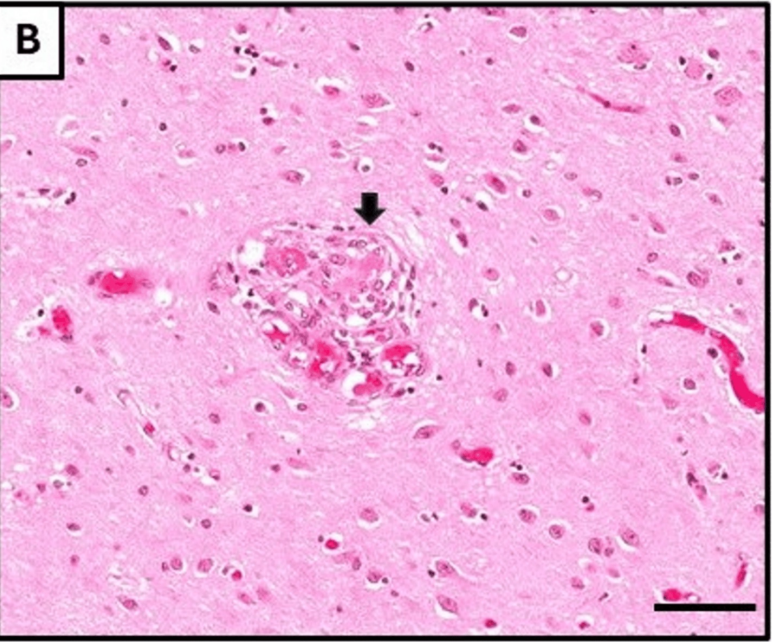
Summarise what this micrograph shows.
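This is brain tissue, with a pale pink fibrillary background in which many small rounded or oval nuclei lie scattered, several surrounded by a clear halo. At the centre is a small rounded cluster of capillary profiles, outlined by elongated dark nuclei, holding bright pink red blood cells and paler pink material within their lumens. Elsewhere in the field, several small vessels are filled with bright, deeply pink red blood cells, including a long curved one at the right edge and short segments at the left. The surrounding tissue otherwise appears fairly uniform, without large cells crowding around the central cluster.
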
